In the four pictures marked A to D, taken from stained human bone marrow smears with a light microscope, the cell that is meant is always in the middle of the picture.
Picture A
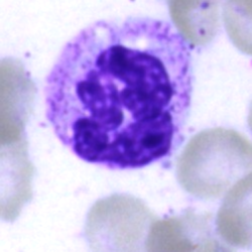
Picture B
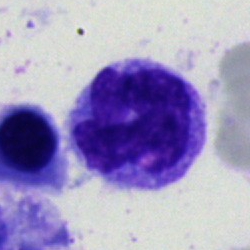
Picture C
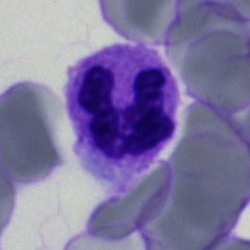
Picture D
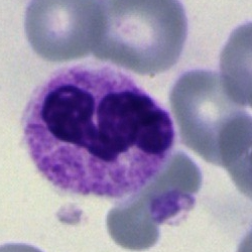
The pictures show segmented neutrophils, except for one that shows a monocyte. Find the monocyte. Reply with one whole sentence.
The cell in picture B is the monocyte.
